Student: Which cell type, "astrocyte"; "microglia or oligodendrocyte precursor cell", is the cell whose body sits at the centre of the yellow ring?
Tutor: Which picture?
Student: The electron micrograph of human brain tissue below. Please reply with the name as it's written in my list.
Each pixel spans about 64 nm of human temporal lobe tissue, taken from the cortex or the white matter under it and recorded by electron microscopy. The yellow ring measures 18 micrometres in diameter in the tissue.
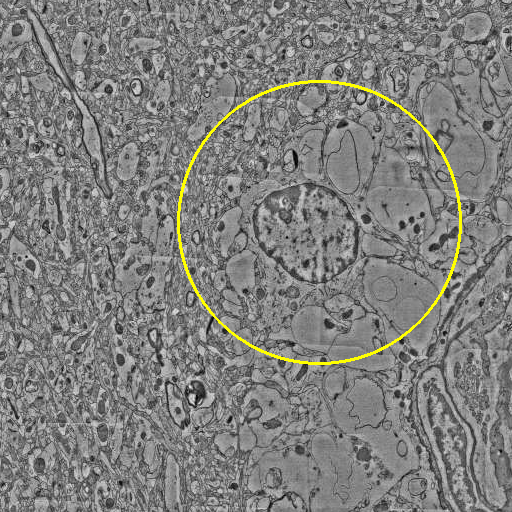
microglia or oligodendrocyte precursor cell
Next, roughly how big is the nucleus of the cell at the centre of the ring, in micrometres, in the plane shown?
The nucleus measures about 7 by 6 micrometres in this plane.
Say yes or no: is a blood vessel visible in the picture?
Yes, there is one.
